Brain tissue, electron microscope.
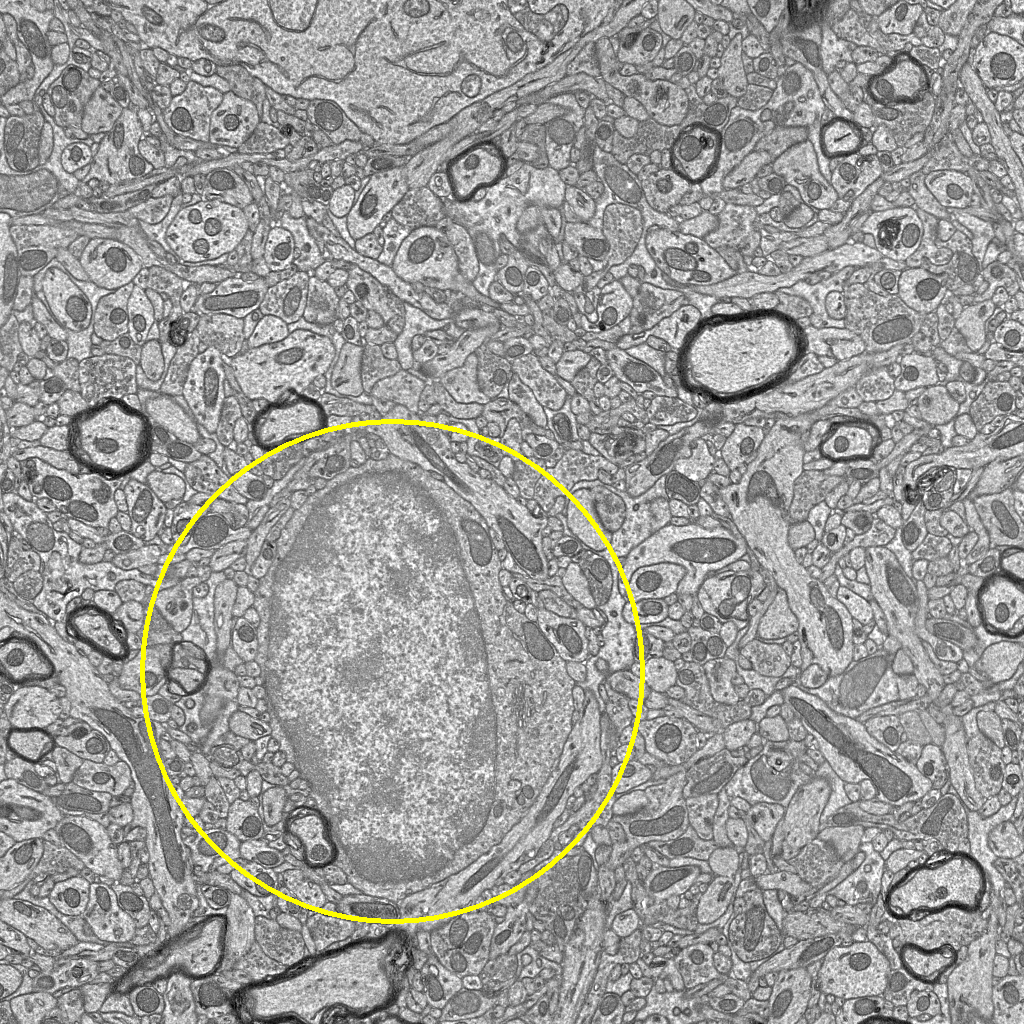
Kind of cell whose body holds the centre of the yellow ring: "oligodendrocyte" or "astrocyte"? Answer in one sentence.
The ring's centre falls on an oligodendrocyte.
